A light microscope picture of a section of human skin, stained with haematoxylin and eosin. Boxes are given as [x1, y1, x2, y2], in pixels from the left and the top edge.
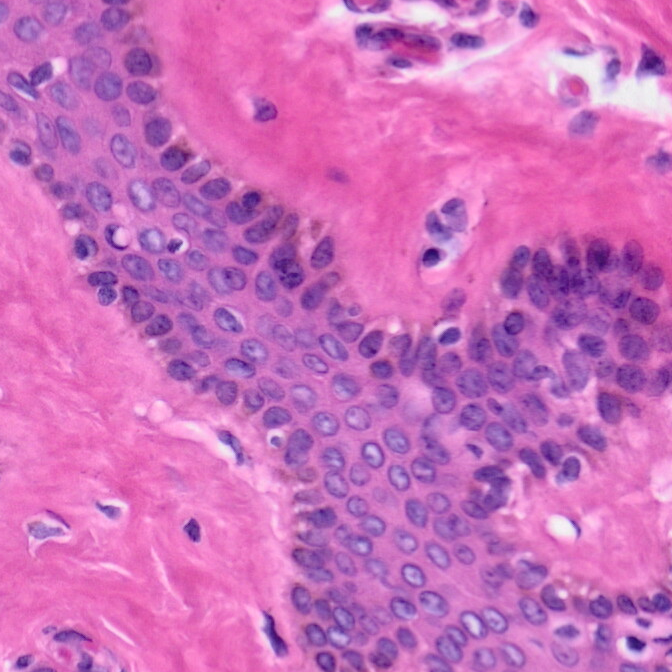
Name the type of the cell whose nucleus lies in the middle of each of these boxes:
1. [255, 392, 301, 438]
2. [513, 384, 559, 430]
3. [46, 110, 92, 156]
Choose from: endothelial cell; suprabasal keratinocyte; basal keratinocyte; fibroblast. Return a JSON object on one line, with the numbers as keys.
{"1": "basal keratinocyte", "2": "basal keratinocyte", "3": "suprabasal keratinocyte"}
